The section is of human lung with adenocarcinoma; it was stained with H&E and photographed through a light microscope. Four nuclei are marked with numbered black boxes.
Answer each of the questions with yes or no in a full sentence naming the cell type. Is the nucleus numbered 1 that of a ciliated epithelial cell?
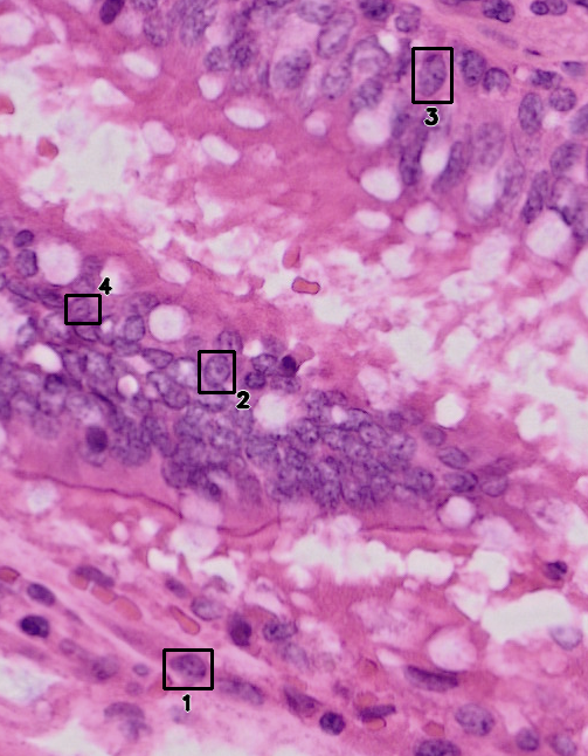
No, in terms of cell type, cell 1 is a macrophage or monocyte, not a ciliated epithelial cell.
